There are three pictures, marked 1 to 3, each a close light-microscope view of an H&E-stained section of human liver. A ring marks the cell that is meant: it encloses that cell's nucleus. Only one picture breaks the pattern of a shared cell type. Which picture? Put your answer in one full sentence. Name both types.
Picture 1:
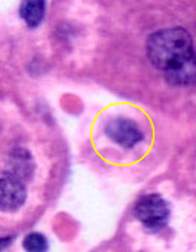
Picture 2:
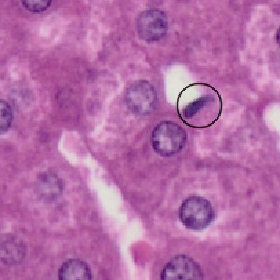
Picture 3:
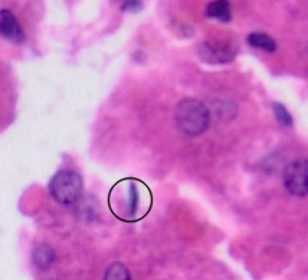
The others show endothelial cells, but picture 1 shows a Kupffer cell.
